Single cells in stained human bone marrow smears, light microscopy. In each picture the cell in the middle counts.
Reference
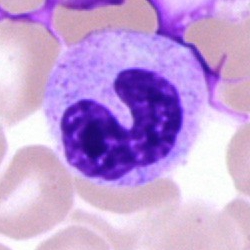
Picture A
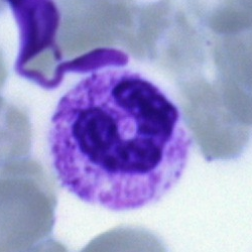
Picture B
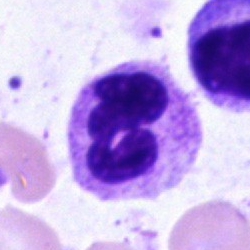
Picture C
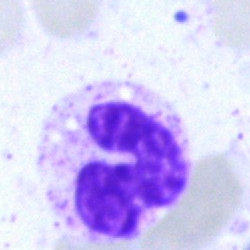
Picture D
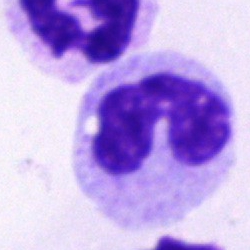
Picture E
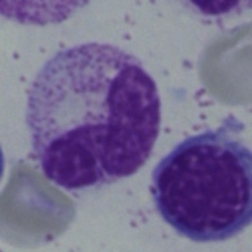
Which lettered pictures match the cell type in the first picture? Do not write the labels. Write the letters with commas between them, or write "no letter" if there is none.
A, C, D, E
